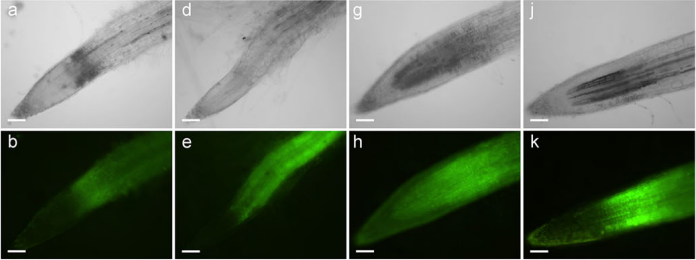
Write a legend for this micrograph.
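The central cylinder shows as darker parallel strands running back from the tip. Green fluorescence fills the inner tissues behind the tip and is brightest where the strands run, while the outermost tip is fainter.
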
